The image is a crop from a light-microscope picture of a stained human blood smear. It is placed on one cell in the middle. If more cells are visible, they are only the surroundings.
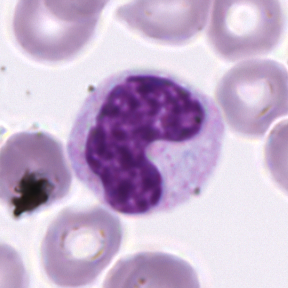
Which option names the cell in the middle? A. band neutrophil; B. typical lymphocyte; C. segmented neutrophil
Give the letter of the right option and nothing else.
A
